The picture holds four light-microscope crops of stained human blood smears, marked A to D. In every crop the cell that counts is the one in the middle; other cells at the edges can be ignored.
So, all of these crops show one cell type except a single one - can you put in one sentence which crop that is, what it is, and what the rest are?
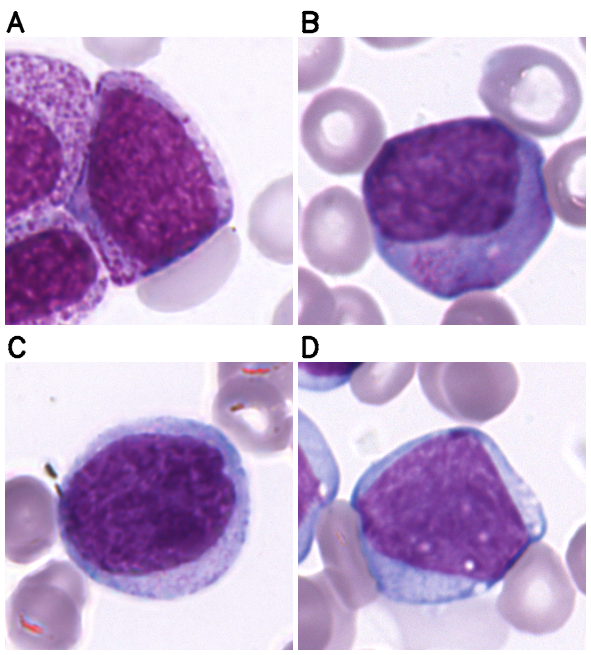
Crop D is the sole crop with a myeloblast; the others all have promyelocytes.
